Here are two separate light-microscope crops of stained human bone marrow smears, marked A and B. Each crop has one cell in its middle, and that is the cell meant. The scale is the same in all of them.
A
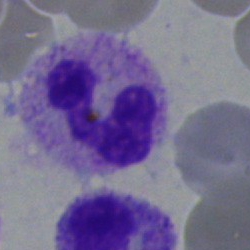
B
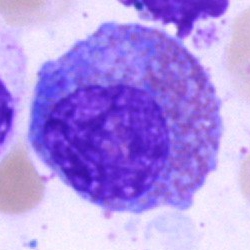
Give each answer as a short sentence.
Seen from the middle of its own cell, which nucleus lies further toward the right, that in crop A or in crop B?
In crop A the nucleus is shifted more toward the right.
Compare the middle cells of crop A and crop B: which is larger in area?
Crop B holds the larger cell; it covers about 2 times the area of the cell in crop A.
